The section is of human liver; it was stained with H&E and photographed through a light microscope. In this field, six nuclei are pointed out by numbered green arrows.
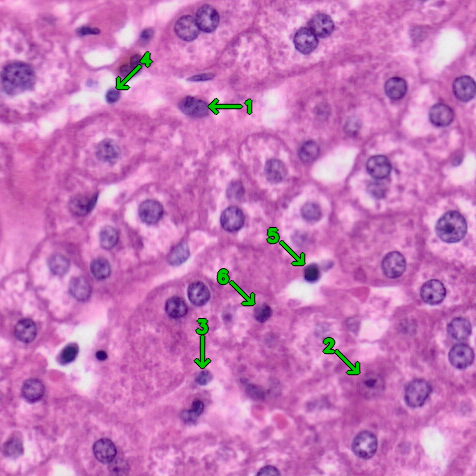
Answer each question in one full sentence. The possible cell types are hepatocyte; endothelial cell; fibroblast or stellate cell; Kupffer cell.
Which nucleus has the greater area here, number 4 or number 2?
Number 2 is larger; its area is about 3 times that of number 4.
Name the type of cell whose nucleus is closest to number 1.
Number 1 lies closest to the nucleus of an endothelial cell.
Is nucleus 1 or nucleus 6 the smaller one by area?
With nucleus 1 about 2 times its size, nucleus 6 is the smaller of the two.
